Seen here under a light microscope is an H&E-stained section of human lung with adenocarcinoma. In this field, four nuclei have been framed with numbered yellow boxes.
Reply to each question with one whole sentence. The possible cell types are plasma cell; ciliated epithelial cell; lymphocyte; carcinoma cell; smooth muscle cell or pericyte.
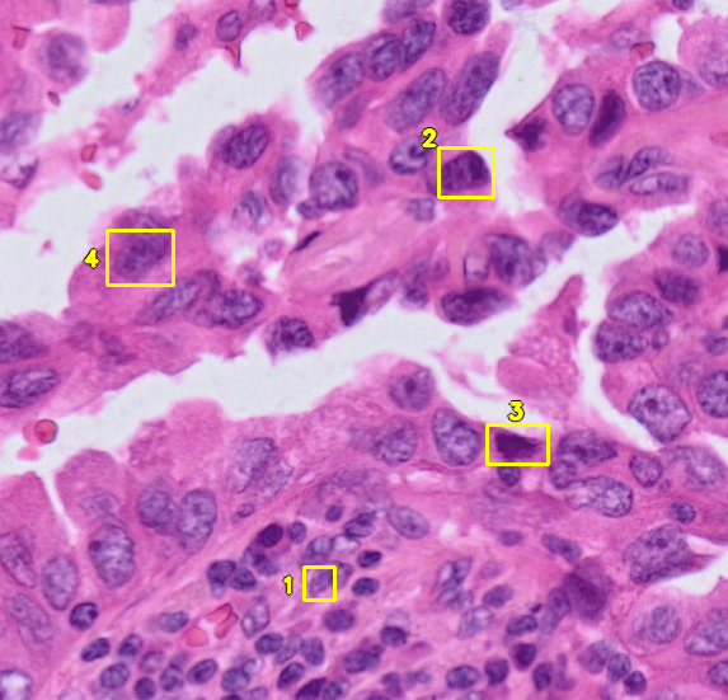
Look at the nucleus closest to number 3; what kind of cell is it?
Number 3 lies closest to the nucleus of a lymphocyte.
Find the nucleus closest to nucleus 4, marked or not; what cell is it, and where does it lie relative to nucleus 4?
The nearest nucleus is that of a carcinoma cell and lies above nucleus 4.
